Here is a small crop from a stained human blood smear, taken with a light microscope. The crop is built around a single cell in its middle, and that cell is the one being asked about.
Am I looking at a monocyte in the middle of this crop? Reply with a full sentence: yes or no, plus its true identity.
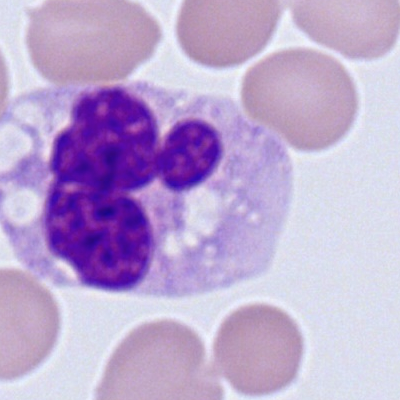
Yes, the cell at the heart of the crop is a monocyte.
